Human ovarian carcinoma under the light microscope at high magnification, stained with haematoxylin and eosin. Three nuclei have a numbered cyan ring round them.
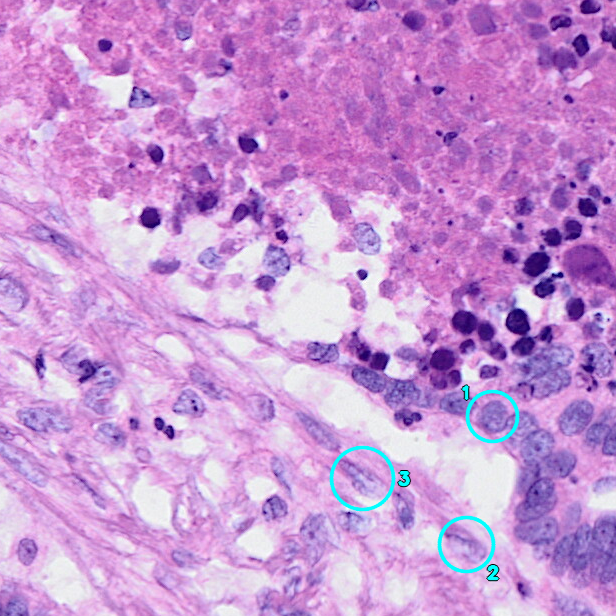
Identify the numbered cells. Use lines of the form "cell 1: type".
cell 1: carcinoma cell
cell 2: fibroblast
cell 3: fibroblast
